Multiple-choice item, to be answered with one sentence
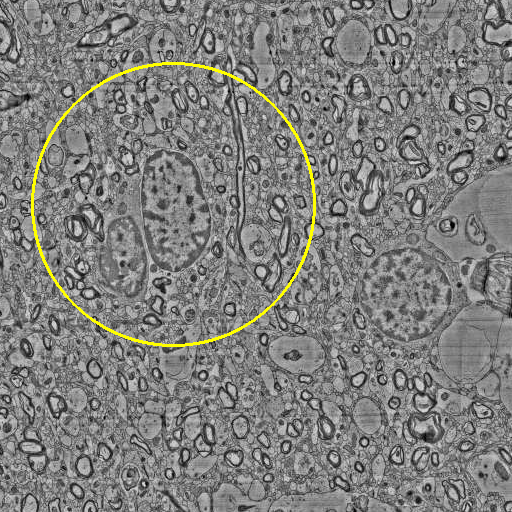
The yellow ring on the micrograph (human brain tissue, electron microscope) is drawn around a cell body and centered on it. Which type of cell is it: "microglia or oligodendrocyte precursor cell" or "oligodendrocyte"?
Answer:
The ring is centered on a microglial cell or oligodendrocyte precursor cell.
